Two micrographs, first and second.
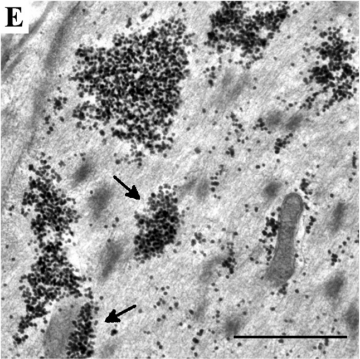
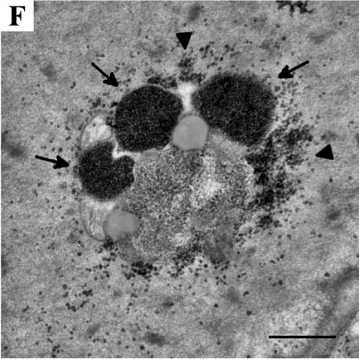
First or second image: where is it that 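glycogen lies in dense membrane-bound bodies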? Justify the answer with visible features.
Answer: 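Second image: several round, dense, sharply bounded bodies packed with glycogen. First image: glycogen granules lie in loose clusters free in the cytoplasm, without a membrane. On this evidence: the second image.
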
